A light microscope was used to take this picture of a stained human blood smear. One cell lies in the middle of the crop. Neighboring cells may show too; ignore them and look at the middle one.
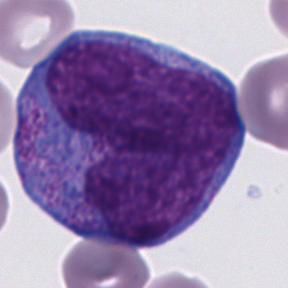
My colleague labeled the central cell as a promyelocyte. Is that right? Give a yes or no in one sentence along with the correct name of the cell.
Yes, that middle cell in the crop is a promyelocyte.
